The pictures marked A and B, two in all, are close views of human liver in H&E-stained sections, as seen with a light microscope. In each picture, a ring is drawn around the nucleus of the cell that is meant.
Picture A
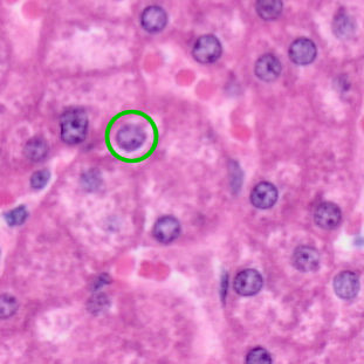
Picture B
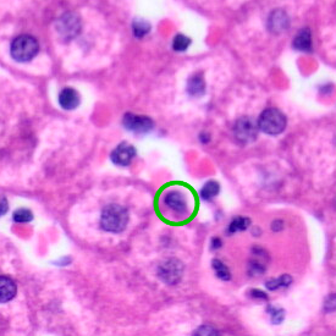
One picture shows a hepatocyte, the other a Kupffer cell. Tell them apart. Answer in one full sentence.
Picture A shows a hepatocyte and picture B shows a Kupffer cell.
